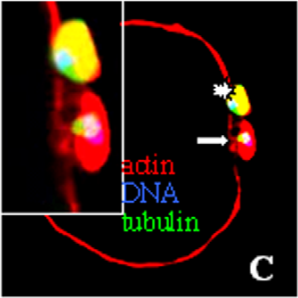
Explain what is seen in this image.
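A large round oocyte is outlined by a thin red cortical rim, its interior dark. At one side of the cortex lie two small bodies close together. The upper one, marked by an asterisk, appears yellow where green and red overlap, with a small blue chromatin spot. The lower one, marked by an arrow, is a rounded red body containing a small blue and pinkish chromatin mass, pinched off at the cell surface. An enlarged inset at the upper left shows the two bodies side by side, the lower one bright red around its chromatin.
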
